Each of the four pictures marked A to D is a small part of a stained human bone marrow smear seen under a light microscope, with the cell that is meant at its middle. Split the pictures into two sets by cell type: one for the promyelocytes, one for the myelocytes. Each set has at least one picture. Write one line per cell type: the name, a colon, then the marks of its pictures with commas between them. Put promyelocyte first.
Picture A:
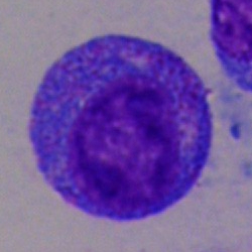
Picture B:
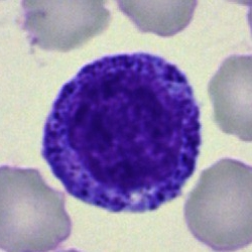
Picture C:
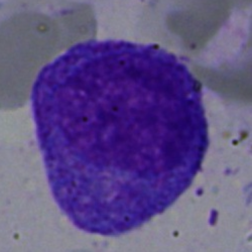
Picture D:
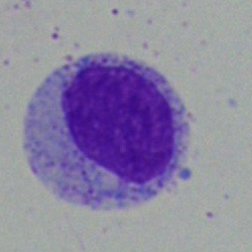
promyelocyte: A, B, C
myelocyte: D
